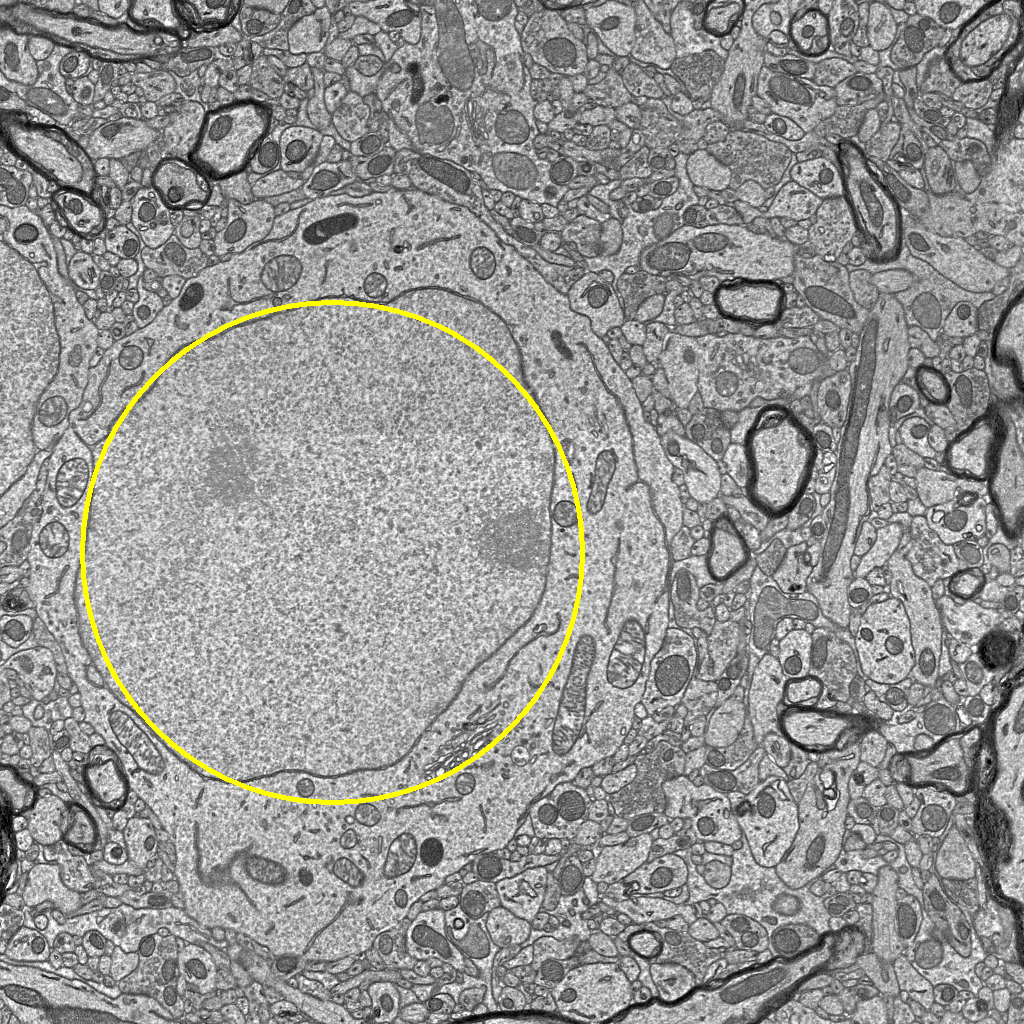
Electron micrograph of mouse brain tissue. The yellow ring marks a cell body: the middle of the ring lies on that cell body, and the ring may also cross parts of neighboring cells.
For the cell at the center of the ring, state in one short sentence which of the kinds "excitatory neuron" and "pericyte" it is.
This ring's center lies on an excitatory neuron.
